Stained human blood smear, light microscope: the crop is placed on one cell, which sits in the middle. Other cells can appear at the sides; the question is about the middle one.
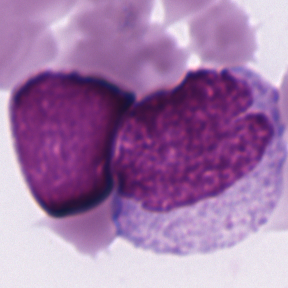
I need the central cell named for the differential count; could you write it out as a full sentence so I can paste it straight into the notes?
Here the cell in the middle is a myeloblast.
